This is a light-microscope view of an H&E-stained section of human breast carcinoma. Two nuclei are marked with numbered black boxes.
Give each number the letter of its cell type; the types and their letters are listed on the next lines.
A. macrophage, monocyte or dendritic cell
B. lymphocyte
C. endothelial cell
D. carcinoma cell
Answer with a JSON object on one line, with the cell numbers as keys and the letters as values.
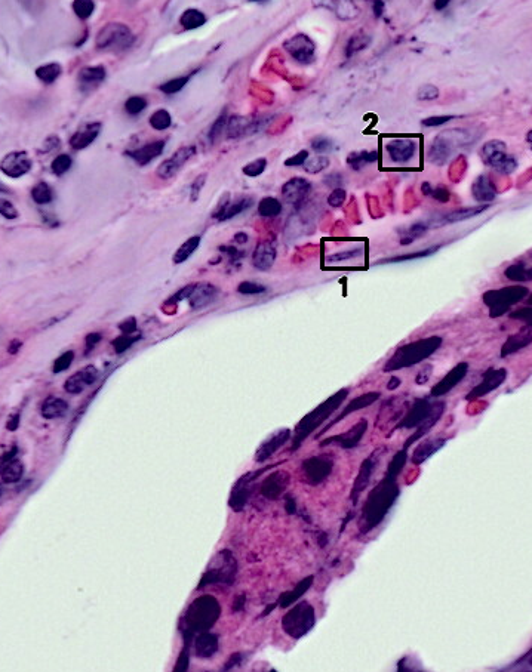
{"1": "C", "2": "B"}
